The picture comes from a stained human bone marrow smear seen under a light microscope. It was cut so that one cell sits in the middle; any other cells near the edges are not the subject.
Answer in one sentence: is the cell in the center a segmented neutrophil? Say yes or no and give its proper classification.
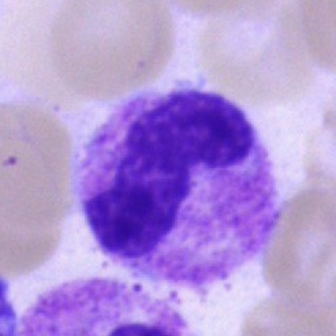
No, the cell in the middle is categorised as a band neutrophil, not a segmented neutrophil.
